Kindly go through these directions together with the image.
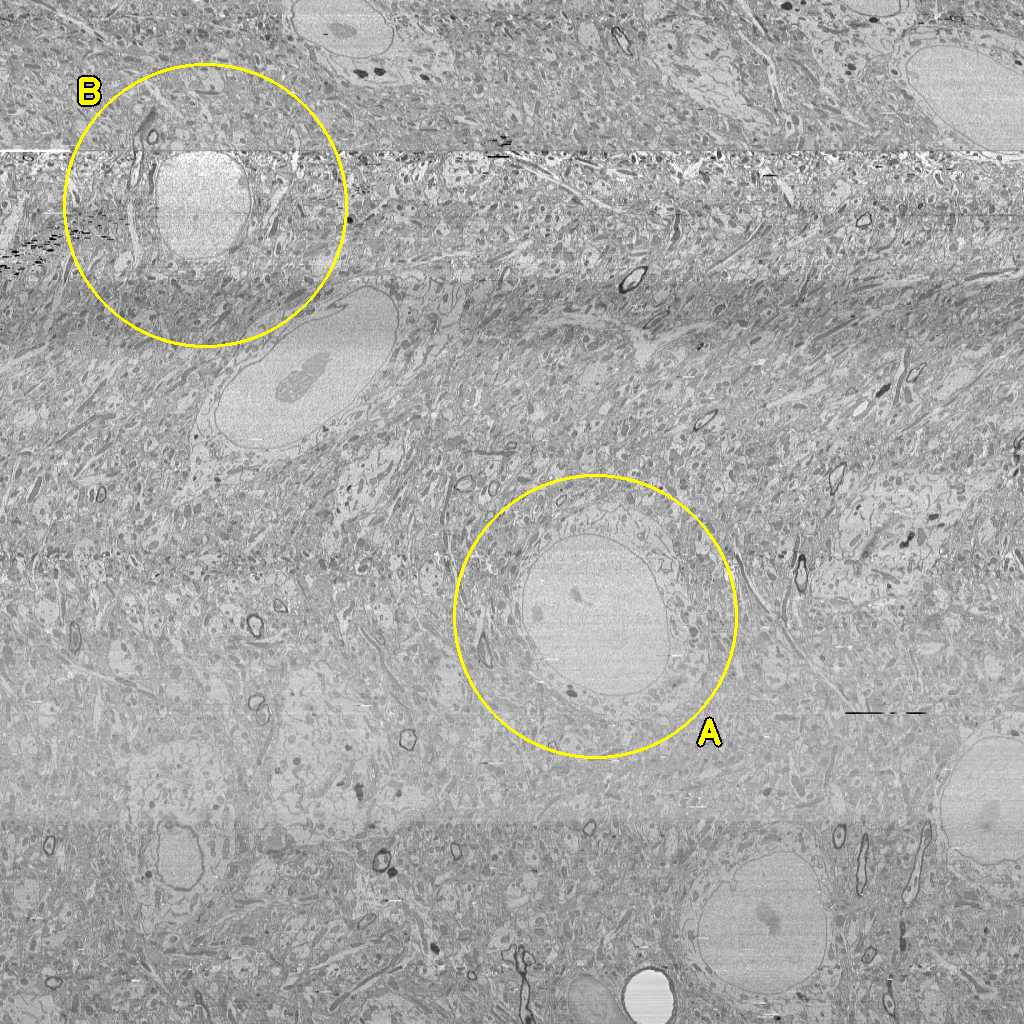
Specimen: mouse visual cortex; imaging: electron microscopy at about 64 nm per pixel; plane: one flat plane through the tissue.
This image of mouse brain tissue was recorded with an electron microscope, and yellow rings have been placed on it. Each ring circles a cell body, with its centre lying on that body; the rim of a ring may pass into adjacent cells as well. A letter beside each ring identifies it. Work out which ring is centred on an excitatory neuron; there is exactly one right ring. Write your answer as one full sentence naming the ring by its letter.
Ring A is the one whose centre lies on a cell of that kind.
